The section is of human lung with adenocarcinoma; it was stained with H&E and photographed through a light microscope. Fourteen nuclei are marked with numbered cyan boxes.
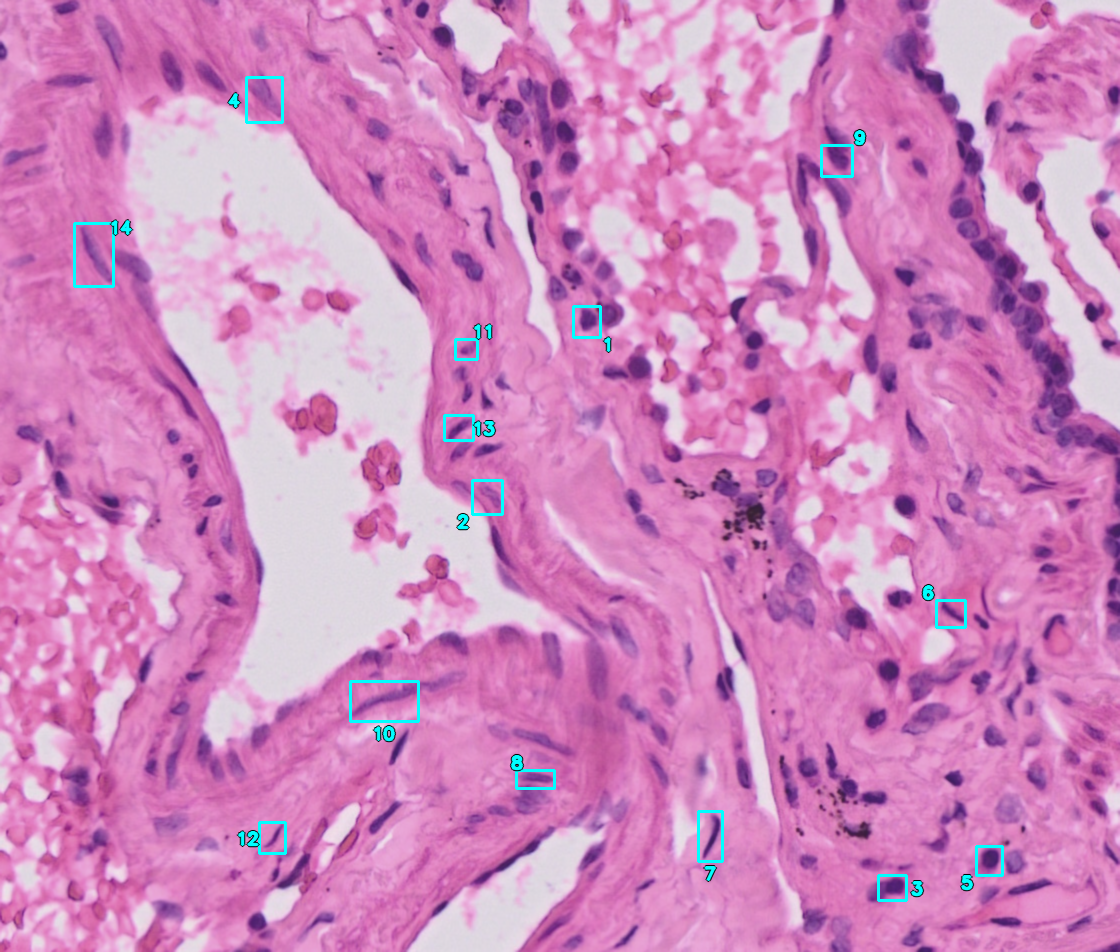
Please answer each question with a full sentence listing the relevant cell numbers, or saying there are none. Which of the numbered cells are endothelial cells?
Only nucleus 6 belongs to an endothelial cell; the other numbered nuclei do not.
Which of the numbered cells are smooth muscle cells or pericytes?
In this section, the cells labelled 2, 4, 8, 10, 11, 13 and 14 are smooth muscle cells or pericytes.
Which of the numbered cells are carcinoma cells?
Of the numbered cells, zero are carcinoma cells.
